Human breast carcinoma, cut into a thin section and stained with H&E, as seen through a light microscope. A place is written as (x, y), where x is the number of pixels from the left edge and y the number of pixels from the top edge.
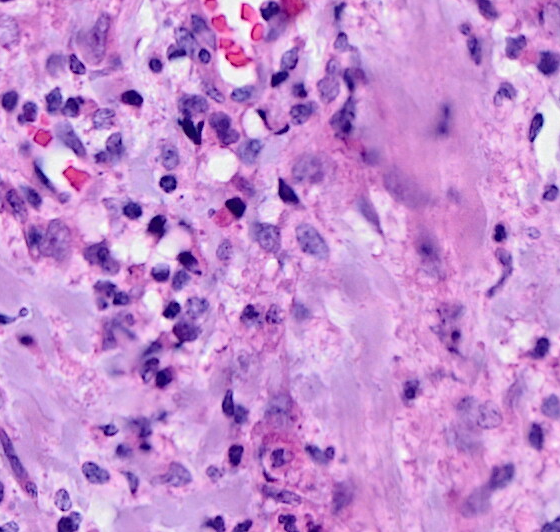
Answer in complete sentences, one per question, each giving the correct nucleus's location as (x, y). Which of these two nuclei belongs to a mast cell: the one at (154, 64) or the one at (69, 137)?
Of the two nuclei, the one sitting at (154, 64) belongs to a mast cell.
